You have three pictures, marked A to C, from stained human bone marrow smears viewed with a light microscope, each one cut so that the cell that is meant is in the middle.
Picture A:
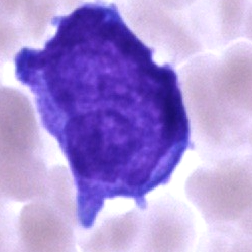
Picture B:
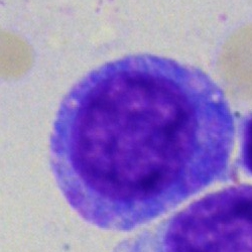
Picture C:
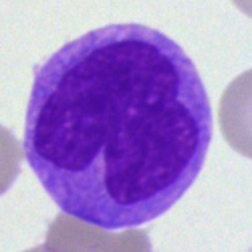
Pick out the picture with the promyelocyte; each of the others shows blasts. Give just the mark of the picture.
B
